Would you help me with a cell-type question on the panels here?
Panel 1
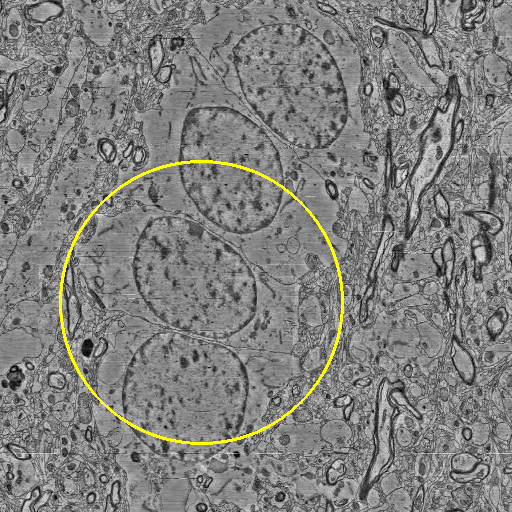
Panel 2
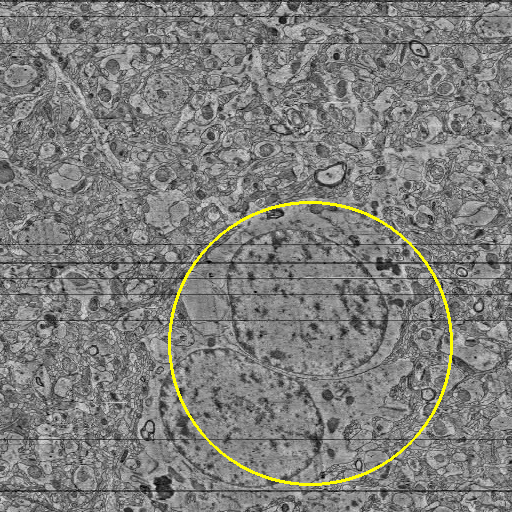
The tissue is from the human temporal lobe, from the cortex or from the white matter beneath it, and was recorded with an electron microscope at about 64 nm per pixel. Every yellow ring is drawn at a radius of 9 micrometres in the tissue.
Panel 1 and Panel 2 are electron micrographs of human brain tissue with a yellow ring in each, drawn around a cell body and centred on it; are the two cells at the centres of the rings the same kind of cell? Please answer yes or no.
yes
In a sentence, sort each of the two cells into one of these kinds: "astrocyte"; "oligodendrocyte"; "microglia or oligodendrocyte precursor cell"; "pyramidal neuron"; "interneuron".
Each of the two pictures has an astrocyte at the ring centre.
